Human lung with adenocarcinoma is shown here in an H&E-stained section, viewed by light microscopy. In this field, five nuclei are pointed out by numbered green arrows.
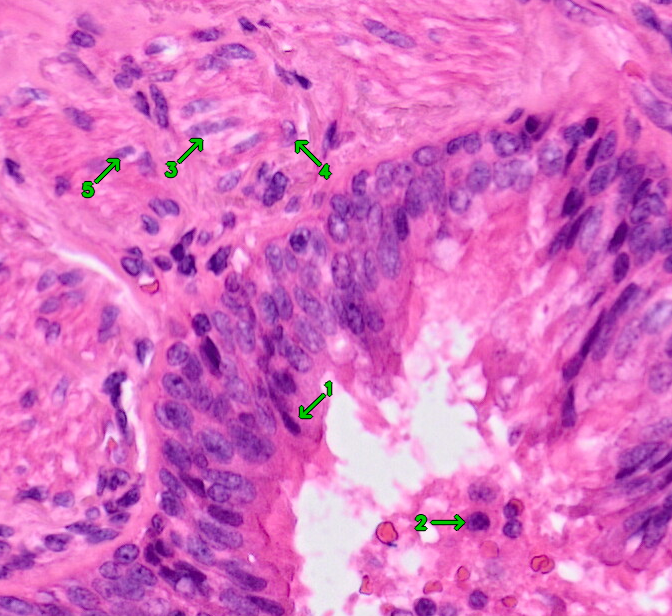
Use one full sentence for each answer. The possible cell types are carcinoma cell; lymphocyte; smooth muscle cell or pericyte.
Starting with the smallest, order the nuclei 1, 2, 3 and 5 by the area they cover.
By area, going up from the smallest, they rank 5, 1, 2, 3.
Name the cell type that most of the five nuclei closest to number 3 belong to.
Of the five nuclei nearest to number 3, most belong to smooth muscle cells or pericytes.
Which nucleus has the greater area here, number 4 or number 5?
Nucleus 4 is the larger one, covering about 1.5 times the area of nucleus 5.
